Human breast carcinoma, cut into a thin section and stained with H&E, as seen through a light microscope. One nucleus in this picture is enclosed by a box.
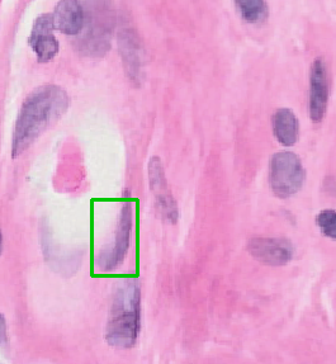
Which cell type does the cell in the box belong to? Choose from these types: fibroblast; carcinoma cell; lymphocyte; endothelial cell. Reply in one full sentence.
With respect to cell type, the cell in the box is an endothelial cell.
